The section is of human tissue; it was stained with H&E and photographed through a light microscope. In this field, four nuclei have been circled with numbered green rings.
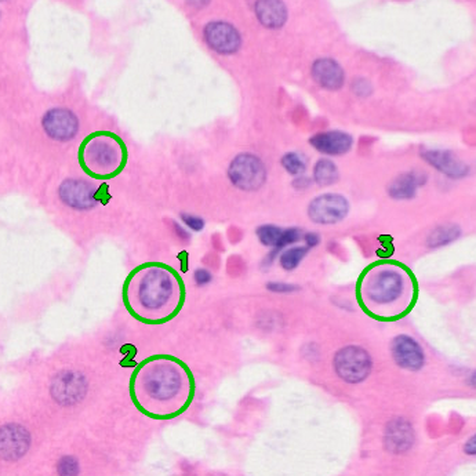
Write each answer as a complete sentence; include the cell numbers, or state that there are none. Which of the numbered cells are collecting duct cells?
Only the cell marked 3 is a collecting duct cell.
